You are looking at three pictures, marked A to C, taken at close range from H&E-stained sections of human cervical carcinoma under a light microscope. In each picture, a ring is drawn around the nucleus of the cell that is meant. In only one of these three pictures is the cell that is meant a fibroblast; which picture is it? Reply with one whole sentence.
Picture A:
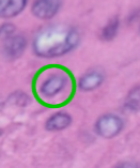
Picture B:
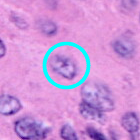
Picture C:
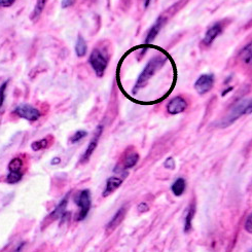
Picture C shows the fibroblast.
